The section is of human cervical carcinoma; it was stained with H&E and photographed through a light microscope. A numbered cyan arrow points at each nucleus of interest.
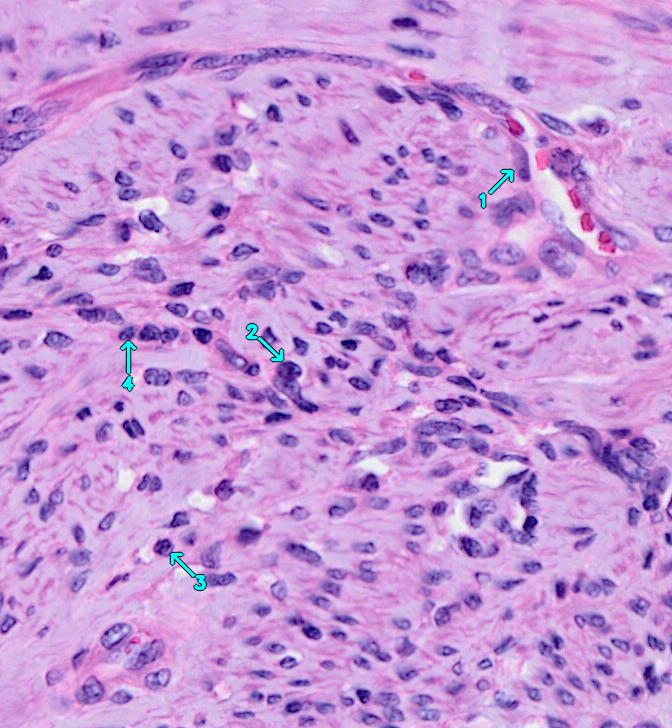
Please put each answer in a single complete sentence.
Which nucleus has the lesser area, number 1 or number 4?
Number 4 is smaller, since number 1 takes up about 2.5 times as much area.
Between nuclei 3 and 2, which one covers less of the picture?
Nucleus 3 is the smaller one; nucleus 2 covers about 1.5 times its area.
